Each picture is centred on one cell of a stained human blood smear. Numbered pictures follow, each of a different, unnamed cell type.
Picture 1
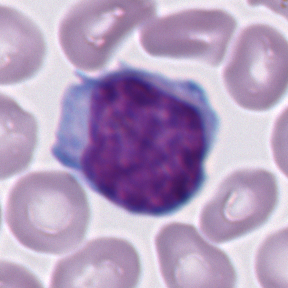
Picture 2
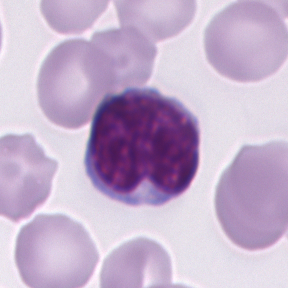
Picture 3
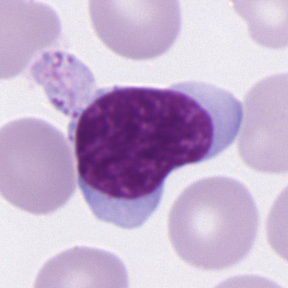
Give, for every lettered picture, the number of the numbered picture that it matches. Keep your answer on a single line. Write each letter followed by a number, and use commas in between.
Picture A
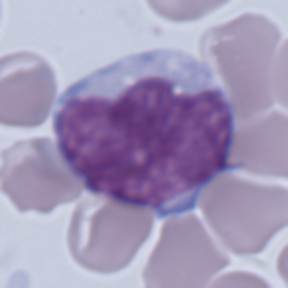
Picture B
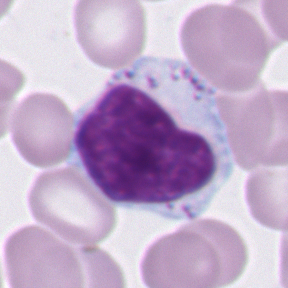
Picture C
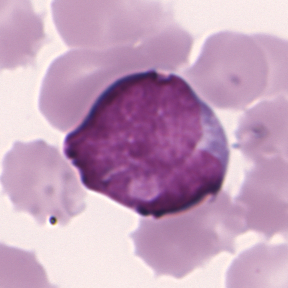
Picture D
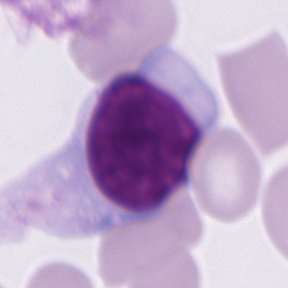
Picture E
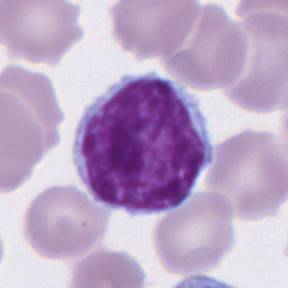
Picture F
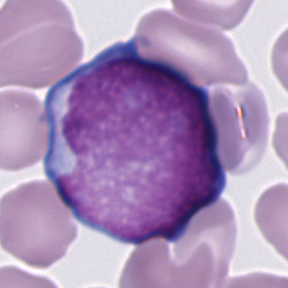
A 1, B 3, C 1, D 3, E 2, F 1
